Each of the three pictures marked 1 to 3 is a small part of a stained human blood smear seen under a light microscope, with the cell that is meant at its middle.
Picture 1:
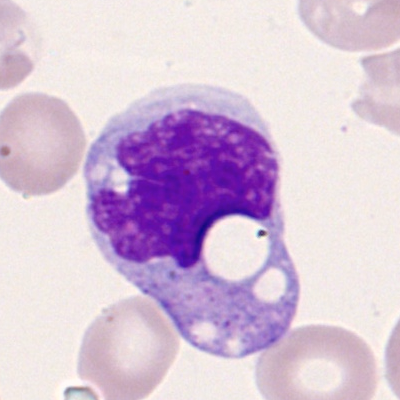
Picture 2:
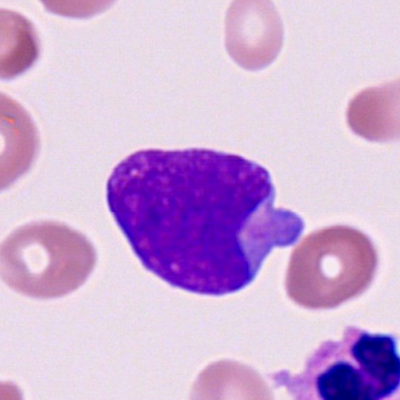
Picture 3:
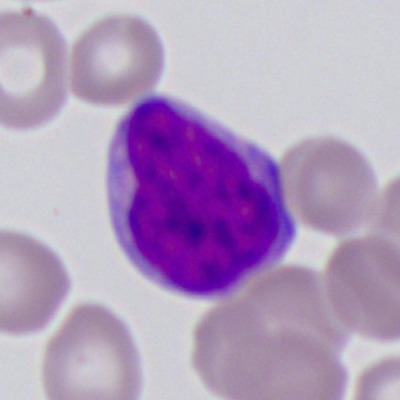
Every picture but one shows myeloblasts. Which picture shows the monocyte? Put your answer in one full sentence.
It is picture 1 that shows the monocyte.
